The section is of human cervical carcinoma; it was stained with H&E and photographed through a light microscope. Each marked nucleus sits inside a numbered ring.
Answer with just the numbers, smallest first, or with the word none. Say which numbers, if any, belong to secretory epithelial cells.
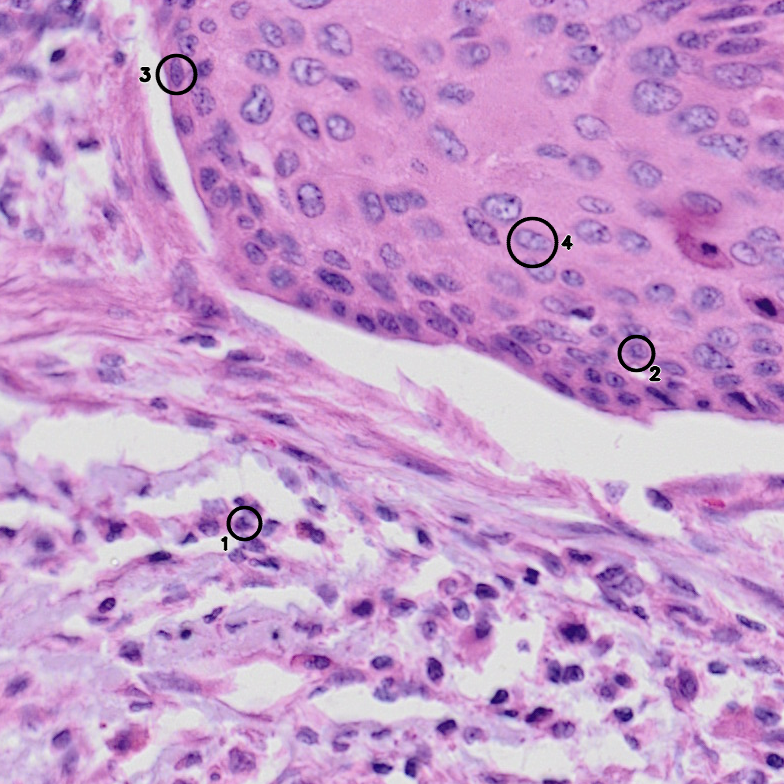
none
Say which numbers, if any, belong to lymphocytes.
1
